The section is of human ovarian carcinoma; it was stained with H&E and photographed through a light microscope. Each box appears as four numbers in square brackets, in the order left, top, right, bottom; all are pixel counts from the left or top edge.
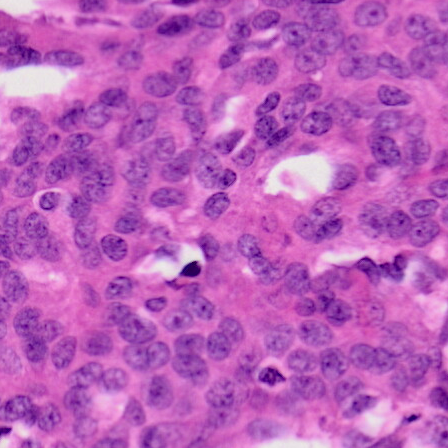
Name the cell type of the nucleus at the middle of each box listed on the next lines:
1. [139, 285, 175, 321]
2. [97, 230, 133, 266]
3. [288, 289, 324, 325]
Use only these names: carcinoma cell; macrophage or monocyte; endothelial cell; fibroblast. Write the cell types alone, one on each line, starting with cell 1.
macrophage or monocyte
macrophage or monocyte
carcinoma cell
